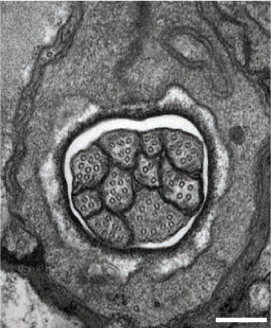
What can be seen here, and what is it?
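This is a cross-section through a nematode sensory pore at the level of the distal ends of the sensory cilia. A roughly round channel is lined by a dense, layered boundary formed by the surrounding glial cells, which lie in concentric rings of cytoplasm around it. Within the channel lumen lies a tight bundle of small, rounded ciliary profiles, pressed against one another and each bounded by its own membrane. Each profile contains only a few scattered small microtubules rather than a full ring of doublets. Little free space remains in the lumen around the bundle.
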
